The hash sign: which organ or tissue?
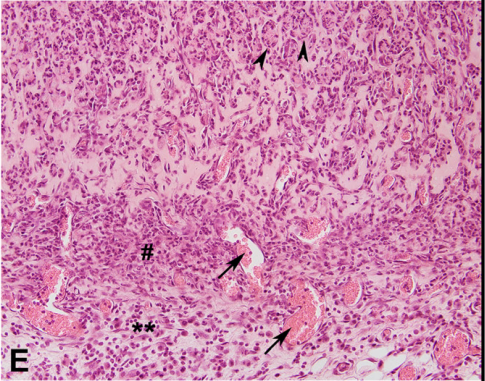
granulation tissue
